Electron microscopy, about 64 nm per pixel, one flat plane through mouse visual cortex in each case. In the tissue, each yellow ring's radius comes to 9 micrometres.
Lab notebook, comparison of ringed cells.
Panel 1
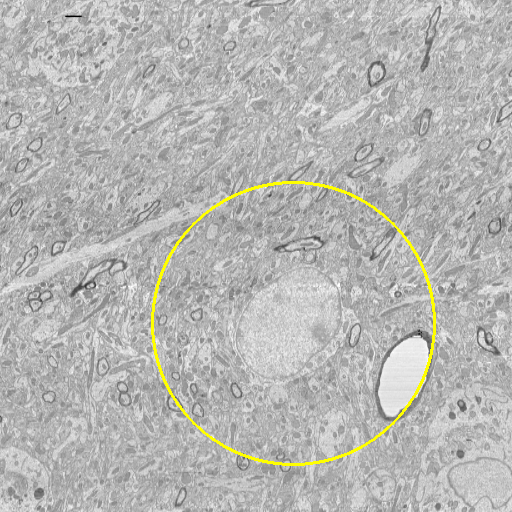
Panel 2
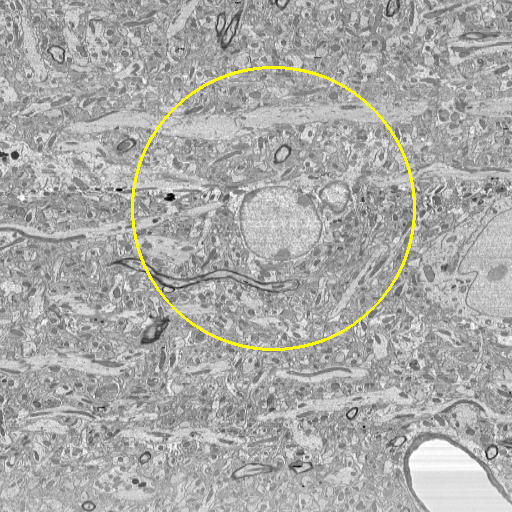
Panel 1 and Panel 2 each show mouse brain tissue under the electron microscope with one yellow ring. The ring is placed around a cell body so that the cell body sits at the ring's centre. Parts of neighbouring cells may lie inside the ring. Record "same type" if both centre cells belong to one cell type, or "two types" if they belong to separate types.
same type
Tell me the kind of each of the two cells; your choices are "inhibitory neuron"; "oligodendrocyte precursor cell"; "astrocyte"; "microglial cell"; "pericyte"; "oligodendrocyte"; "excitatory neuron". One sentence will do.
In each picture the ringed cell is an astrocyte.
